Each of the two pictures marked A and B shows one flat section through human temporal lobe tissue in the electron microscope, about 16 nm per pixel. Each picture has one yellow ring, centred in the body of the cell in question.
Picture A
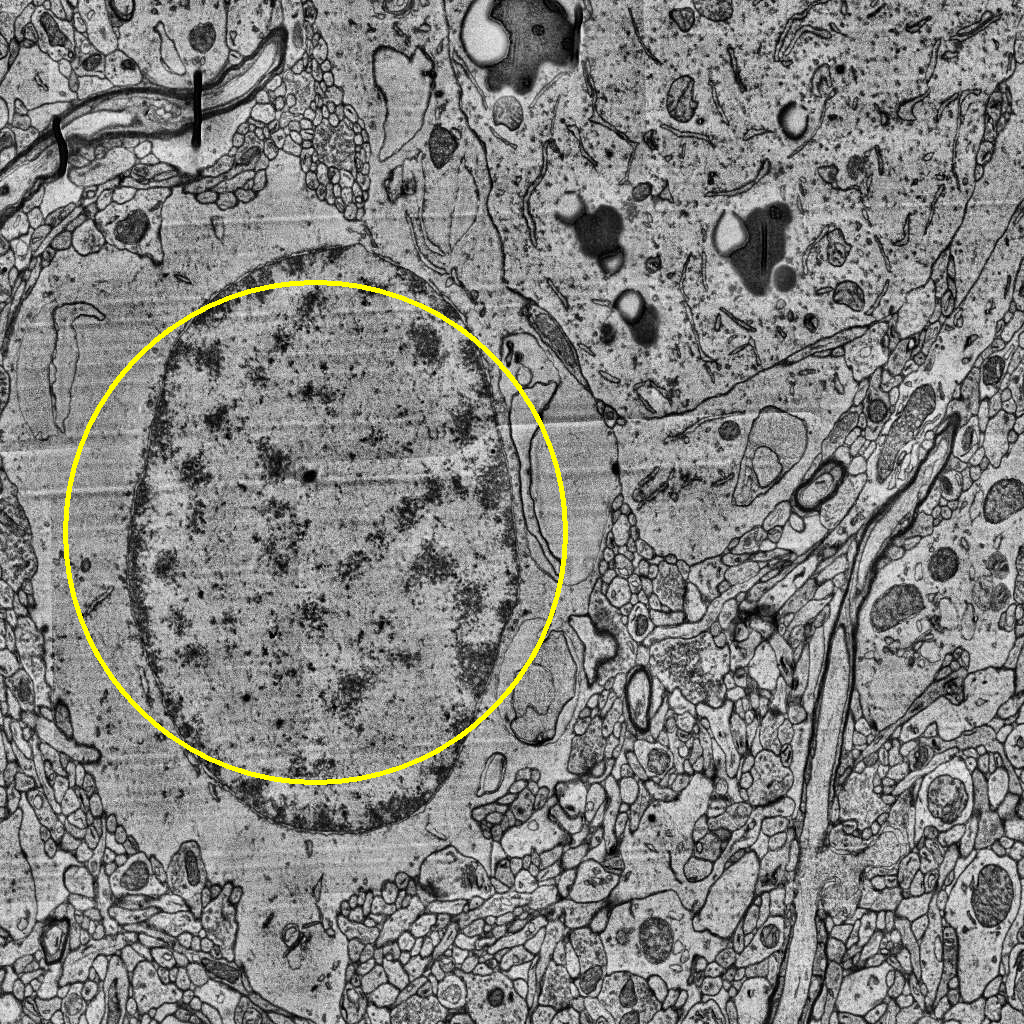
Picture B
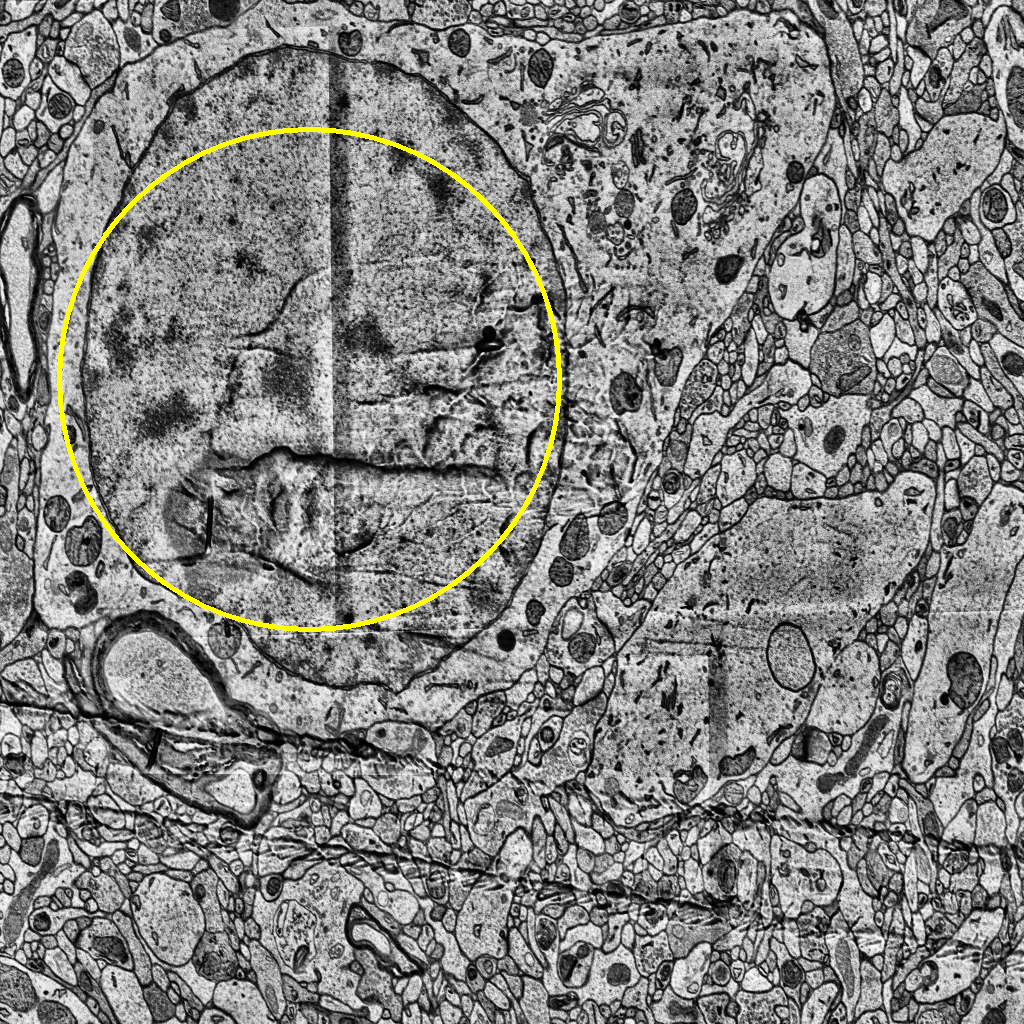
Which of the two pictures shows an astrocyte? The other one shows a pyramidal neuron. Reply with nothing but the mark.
A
